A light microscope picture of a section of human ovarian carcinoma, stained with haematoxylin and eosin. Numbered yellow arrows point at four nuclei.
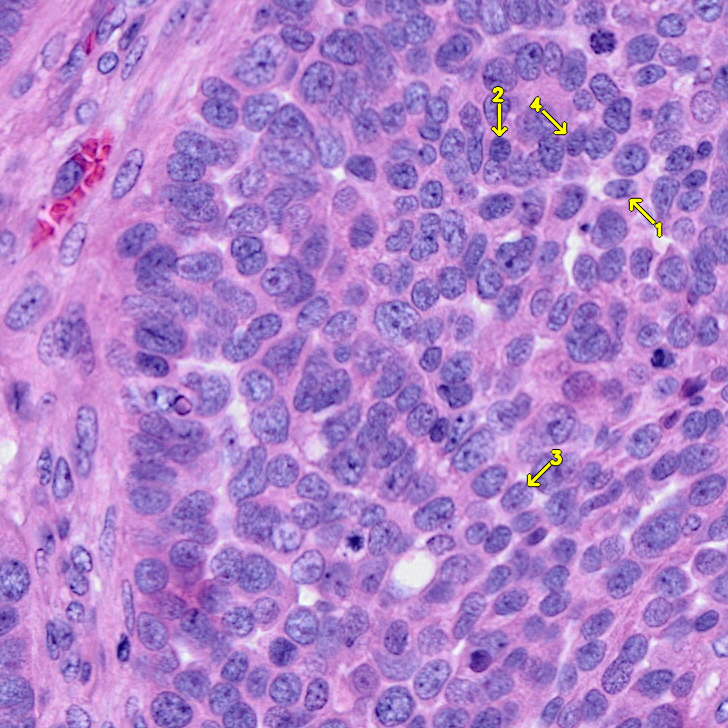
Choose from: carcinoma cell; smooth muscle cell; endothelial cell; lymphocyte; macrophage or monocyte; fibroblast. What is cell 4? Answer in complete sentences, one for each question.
Cell 4 of the marked set is a carcinoma cell.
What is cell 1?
What the number 1 marks in this field is a macrophage or monocyte.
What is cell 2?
Cell 2 in the field is a carcinoma cell.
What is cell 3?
What the number 3 marks in this field is a carcinoma cell.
